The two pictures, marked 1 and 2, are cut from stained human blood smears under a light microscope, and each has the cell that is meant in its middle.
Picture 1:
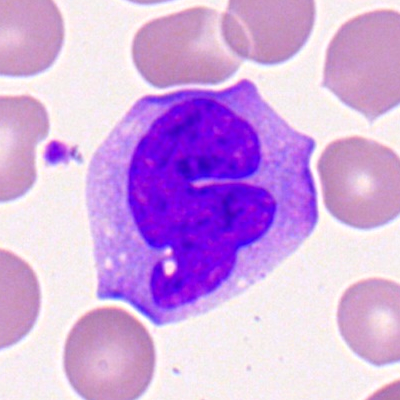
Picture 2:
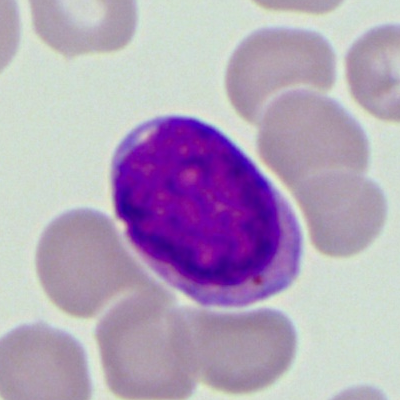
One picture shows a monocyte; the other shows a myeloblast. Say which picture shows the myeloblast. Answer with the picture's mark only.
2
